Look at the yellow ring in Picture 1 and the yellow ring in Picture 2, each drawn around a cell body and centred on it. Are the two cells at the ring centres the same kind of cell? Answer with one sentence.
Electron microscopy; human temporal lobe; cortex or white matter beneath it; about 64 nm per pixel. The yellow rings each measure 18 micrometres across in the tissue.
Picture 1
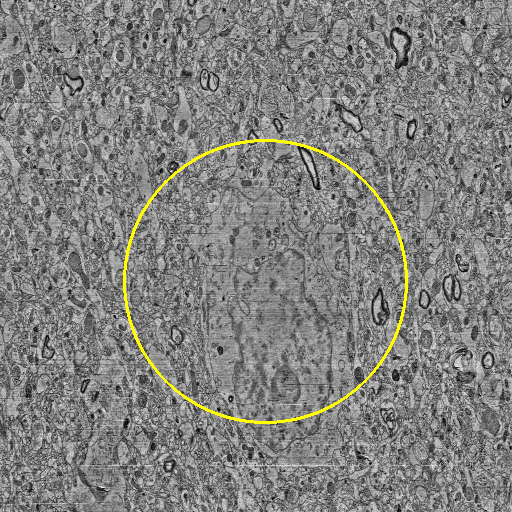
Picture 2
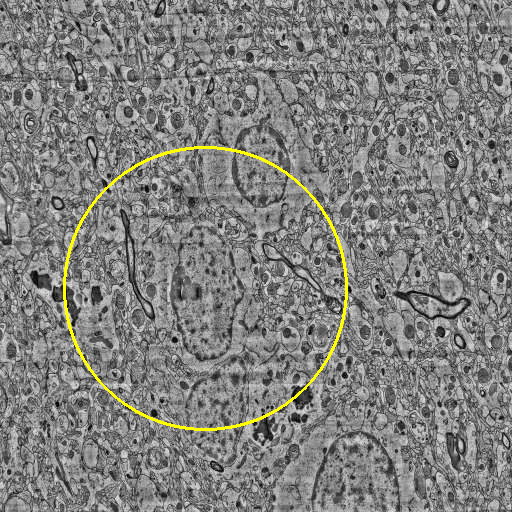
No, they are cells of two kinds.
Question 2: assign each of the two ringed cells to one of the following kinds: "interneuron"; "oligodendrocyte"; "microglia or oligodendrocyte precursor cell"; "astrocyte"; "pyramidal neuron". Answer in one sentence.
The two cells are an interneuron in the first picture and an astrocyte in the second.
